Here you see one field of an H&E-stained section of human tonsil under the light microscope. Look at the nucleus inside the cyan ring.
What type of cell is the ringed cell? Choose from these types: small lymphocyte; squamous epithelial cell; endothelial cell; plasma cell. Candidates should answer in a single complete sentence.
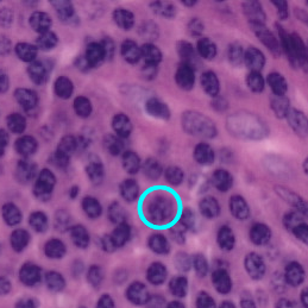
Histopathologically, the ringed cell is a plasma cell.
